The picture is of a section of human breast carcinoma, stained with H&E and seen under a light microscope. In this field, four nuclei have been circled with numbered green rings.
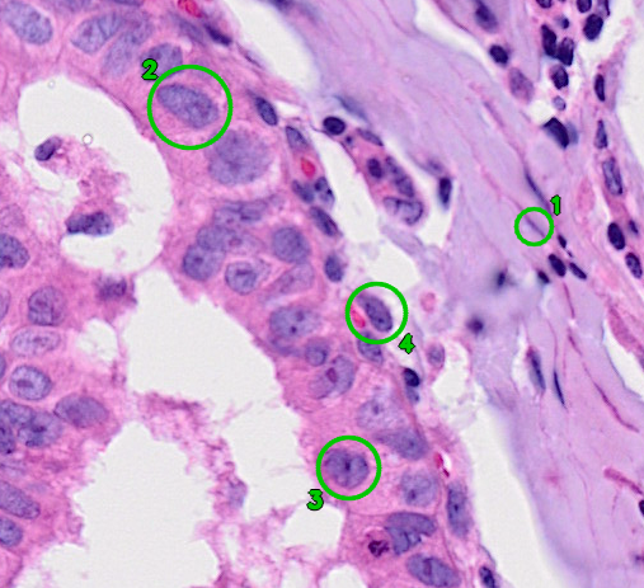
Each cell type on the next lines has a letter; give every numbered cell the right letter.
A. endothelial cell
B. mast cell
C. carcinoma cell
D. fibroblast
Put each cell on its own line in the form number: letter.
1: D
2: C
3: C
4: A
